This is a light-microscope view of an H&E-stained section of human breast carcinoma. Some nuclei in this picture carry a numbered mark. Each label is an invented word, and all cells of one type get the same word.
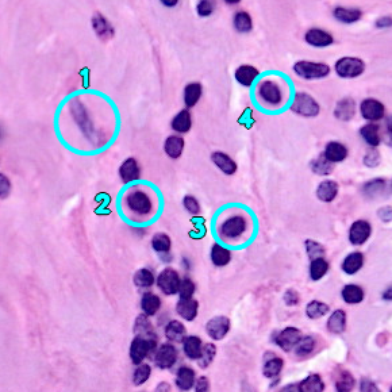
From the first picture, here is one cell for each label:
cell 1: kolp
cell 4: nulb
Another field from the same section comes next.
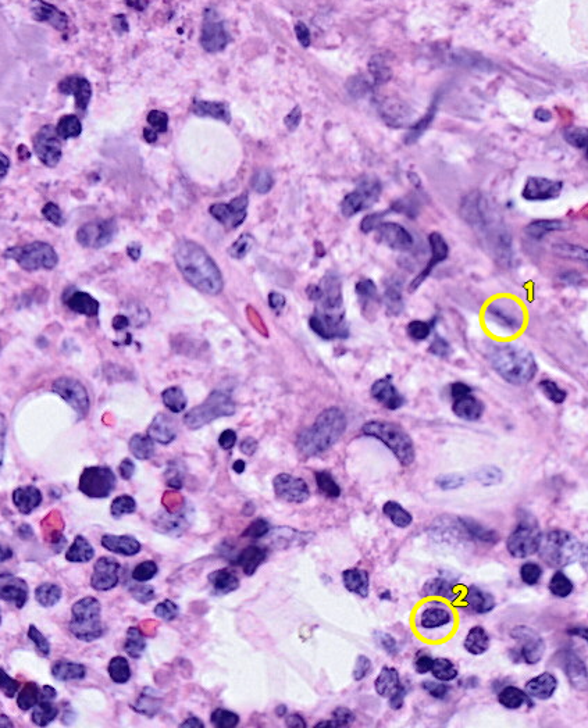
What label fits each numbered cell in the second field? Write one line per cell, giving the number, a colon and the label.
1: kolp
2: nulb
